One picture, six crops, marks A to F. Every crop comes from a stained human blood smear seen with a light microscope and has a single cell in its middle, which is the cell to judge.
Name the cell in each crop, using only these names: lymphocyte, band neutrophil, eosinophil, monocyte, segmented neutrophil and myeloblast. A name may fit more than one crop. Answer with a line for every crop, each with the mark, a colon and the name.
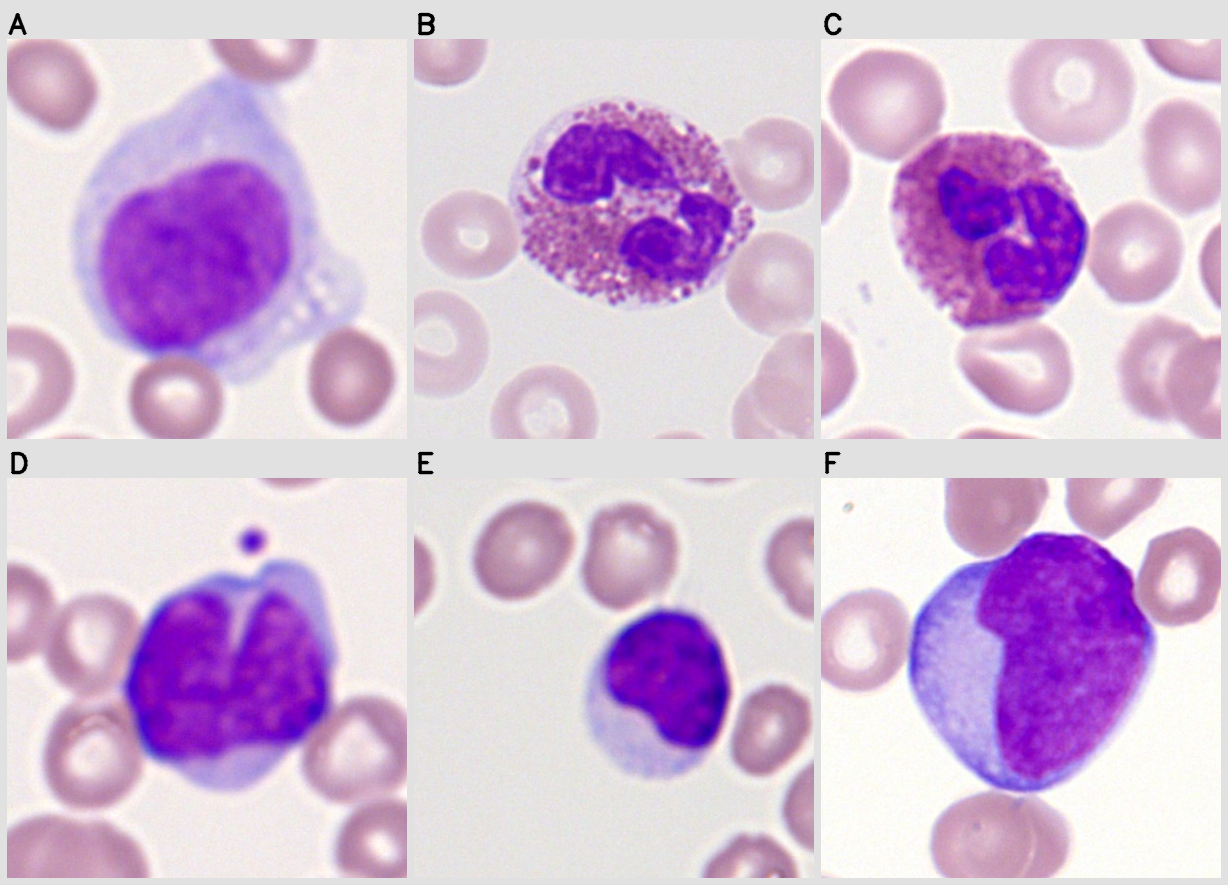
A: monocyte
B: eosinophil
C: eosinophil
D: monocyte
E: lymphocyte
F: myeloblast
